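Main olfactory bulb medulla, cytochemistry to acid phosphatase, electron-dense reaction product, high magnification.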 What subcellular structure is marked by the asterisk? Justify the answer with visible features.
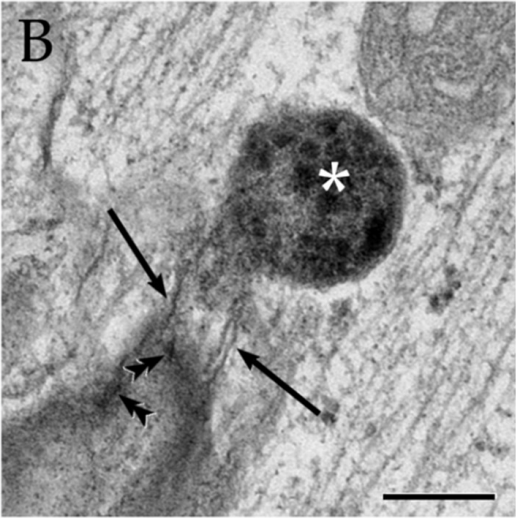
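A round membrane-bound body with dark, granular electron-dense content. It lies within the cytoplasm beside a dark layered band.
Conclusion: lysosome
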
